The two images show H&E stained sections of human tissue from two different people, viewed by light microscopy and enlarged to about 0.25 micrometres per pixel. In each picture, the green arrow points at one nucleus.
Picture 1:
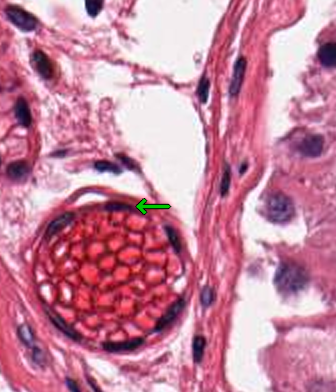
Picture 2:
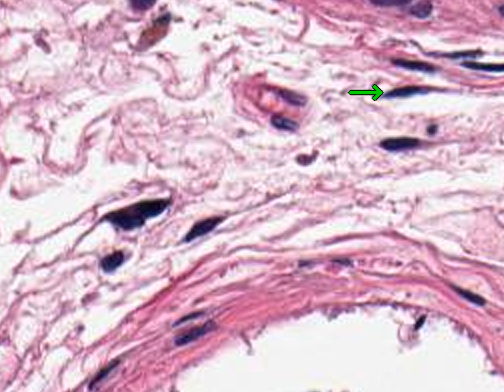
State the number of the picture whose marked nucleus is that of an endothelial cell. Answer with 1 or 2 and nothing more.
1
